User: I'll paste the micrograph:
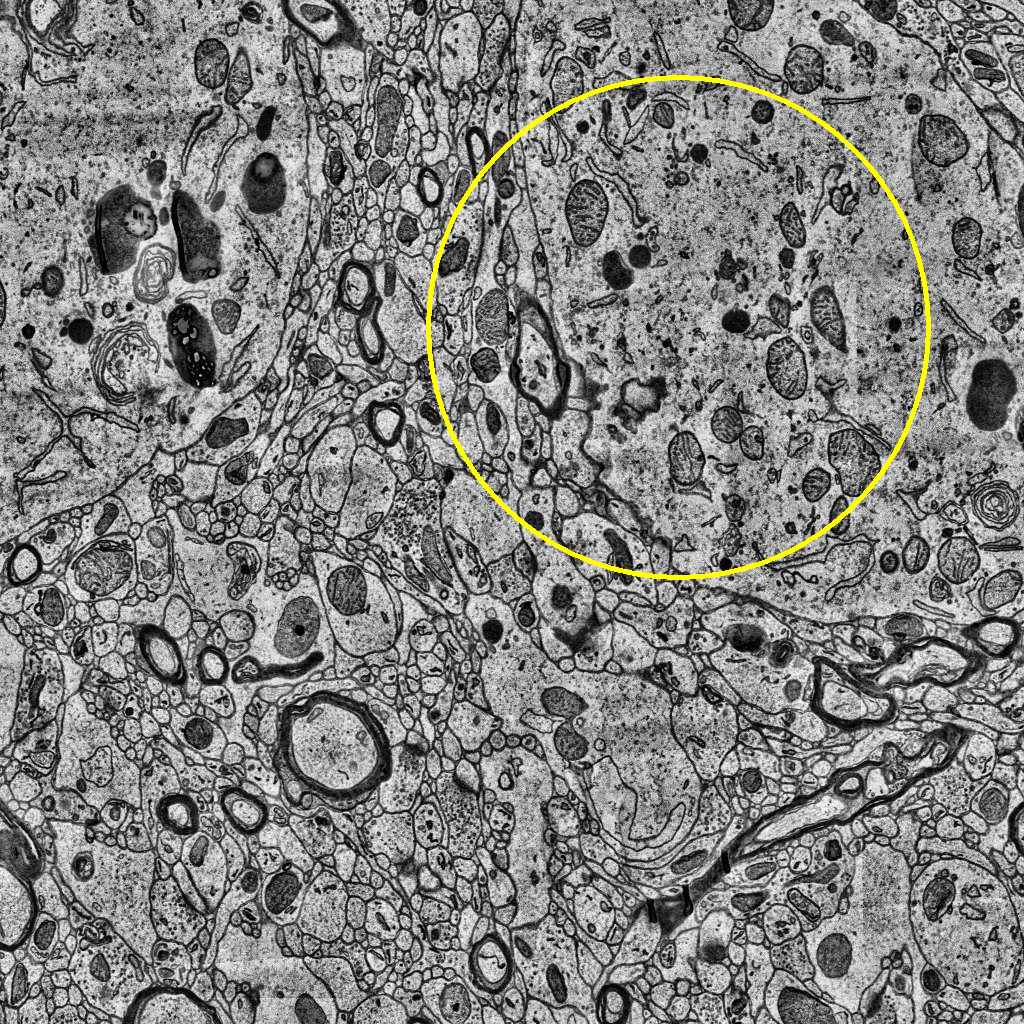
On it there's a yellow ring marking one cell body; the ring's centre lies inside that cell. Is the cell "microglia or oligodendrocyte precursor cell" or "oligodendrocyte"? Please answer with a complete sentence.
The cell at the centre of the yellow ring is a microglial cell or oligodendrocyte precursor cell.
